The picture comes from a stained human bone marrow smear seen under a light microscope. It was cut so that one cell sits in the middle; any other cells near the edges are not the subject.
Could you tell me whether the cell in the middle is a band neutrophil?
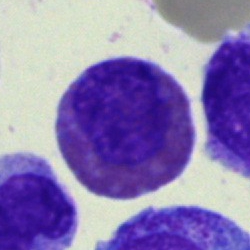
no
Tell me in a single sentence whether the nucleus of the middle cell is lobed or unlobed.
If you check the nucleus, you will find one compact mass, round, oval or kidney-shaped.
